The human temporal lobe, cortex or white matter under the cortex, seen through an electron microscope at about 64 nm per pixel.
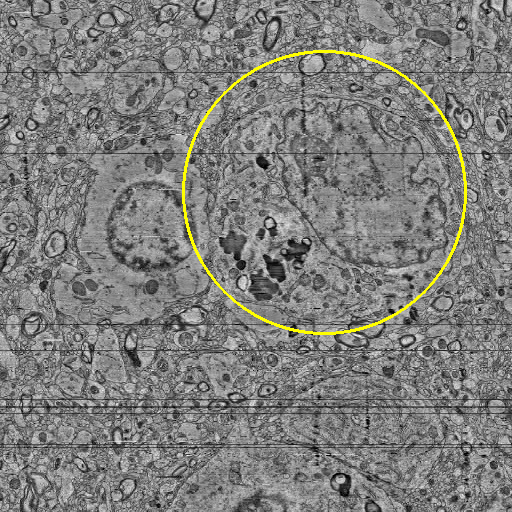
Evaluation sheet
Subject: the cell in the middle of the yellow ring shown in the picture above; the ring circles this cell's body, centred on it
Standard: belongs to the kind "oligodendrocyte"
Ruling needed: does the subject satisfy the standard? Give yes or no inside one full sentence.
No, the cell in the middle of the ring in the picture above belongs to some other kind.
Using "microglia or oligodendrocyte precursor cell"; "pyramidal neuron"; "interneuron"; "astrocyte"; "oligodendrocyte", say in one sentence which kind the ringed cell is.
In this picture, the ring is centred on an interneuron.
